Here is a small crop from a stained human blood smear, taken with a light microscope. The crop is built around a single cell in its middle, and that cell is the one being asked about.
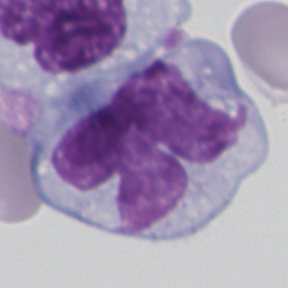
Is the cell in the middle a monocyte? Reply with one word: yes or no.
yes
